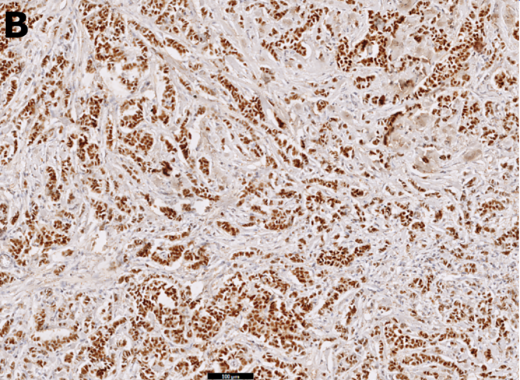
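The tumor cell nuclei are stained dark brown, while their cytoplasm stays pale. The stroma between the clusters holds spindle-shaped cells with pale blue nuclei that lack the brown stain. The brown nuclei crowd tightly together in the larger nests.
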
